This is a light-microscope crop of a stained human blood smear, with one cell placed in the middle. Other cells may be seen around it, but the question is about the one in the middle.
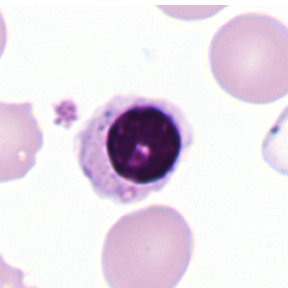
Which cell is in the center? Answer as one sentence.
The centrally positioned cell in the crop represents an erythroblast.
